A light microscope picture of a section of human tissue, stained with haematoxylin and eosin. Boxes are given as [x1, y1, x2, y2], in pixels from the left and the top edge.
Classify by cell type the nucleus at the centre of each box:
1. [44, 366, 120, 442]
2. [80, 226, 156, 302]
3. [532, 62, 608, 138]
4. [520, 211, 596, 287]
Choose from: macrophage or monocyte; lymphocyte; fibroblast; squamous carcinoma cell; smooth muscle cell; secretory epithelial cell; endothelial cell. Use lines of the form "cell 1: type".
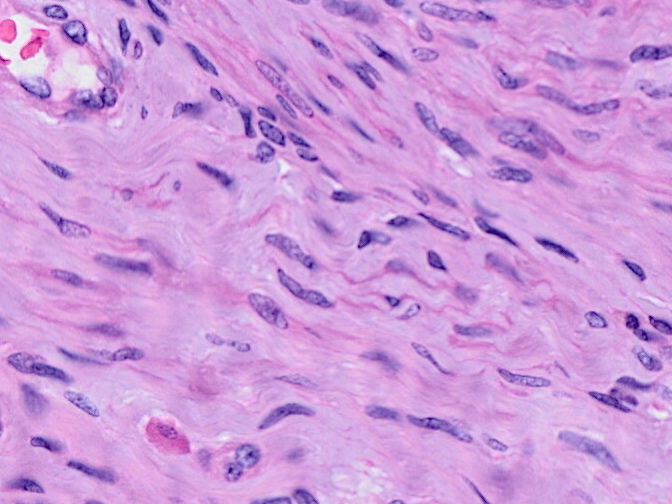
cell 1: fibroblast
cell 2: smooth muscle cell
cell 3: smooth muscle cell
cell 4: fibroblast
